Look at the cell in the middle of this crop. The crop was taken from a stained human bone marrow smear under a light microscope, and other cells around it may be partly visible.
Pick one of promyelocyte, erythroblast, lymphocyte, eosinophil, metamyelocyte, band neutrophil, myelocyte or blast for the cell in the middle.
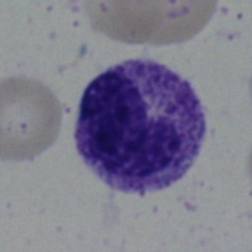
metamyelocyte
